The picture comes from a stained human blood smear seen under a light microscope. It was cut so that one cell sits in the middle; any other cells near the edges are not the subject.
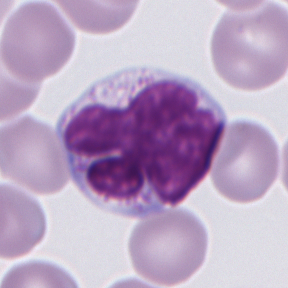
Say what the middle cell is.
large granular lymphocyte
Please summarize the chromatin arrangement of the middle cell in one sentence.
Heads up, the chromatin is fine with no coarse clumps in it.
